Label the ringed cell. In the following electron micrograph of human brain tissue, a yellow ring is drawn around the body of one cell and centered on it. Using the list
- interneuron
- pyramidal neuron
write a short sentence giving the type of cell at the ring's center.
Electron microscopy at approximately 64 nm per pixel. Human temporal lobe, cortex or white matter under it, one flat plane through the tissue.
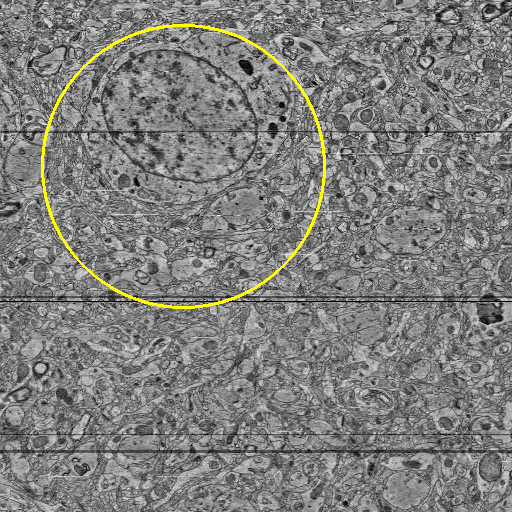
The cell body at the ring's center is that of a pyramidal neuron.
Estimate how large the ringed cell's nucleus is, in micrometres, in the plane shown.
The ringed cell's nucleus measures approximately 10 by 8 micrometres in this plane.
